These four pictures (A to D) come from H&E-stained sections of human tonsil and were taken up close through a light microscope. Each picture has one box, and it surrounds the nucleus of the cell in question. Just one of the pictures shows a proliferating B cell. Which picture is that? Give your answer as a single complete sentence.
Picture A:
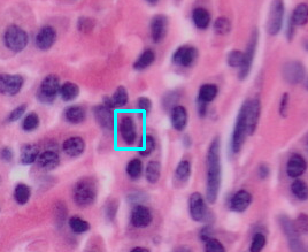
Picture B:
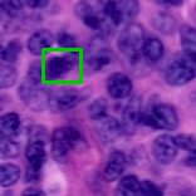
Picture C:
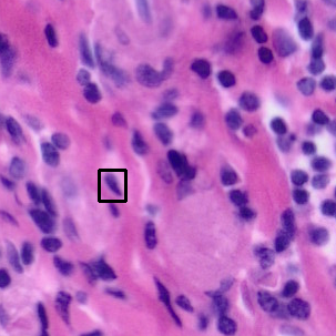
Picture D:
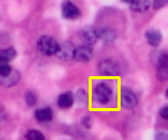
The proliferating B cell is the one in picture B.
